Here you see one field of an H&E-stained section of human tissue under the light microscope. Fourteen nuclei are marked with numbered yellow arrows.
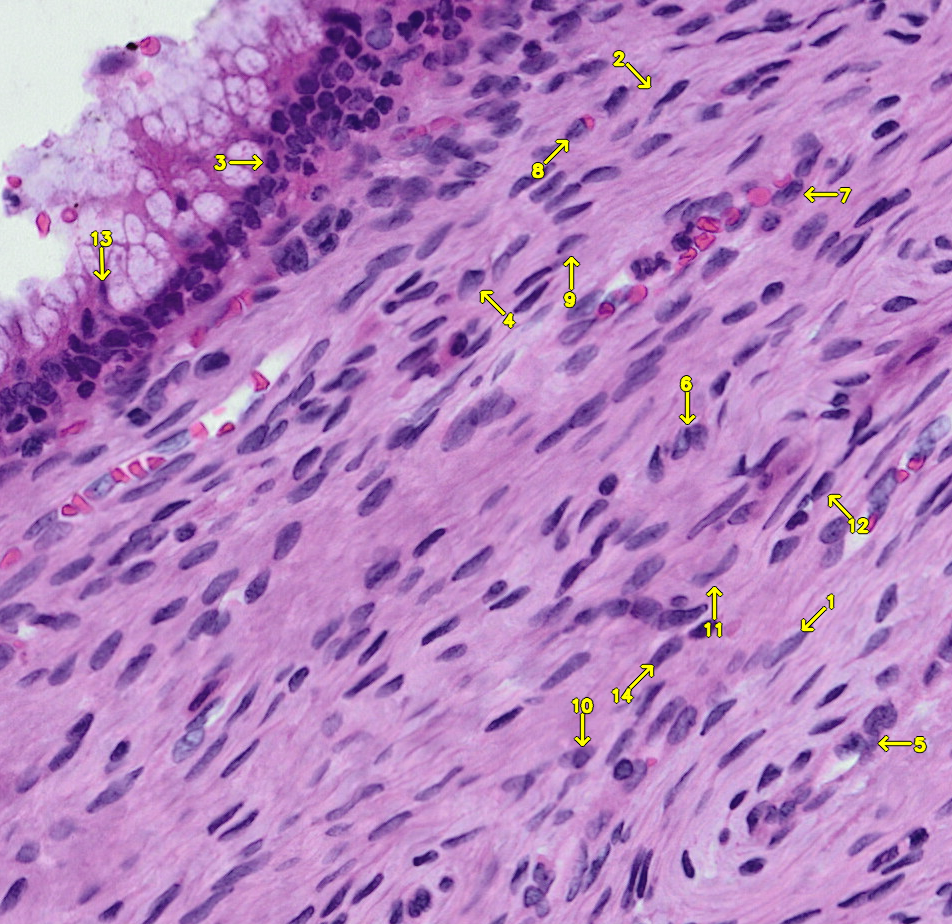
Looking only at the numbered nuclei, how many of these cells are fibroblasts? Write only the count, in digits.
8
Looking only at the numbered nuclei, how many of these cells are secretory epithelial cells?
2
